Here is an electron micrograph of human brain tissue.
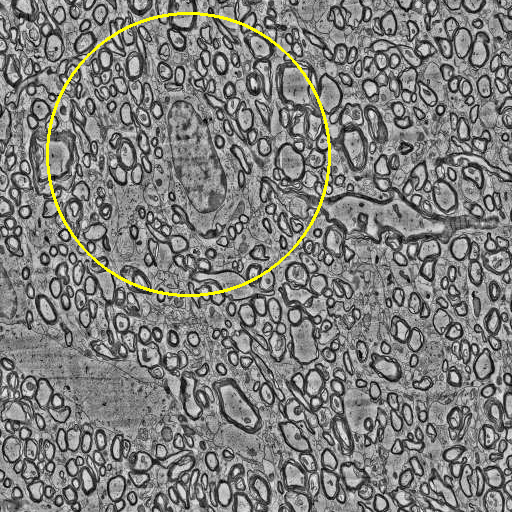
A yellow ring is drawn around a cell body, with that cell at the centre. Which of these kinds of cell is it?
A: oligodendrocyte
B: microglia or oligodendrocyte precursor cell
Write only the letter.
B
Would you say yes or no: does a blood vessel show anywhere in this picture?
No.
